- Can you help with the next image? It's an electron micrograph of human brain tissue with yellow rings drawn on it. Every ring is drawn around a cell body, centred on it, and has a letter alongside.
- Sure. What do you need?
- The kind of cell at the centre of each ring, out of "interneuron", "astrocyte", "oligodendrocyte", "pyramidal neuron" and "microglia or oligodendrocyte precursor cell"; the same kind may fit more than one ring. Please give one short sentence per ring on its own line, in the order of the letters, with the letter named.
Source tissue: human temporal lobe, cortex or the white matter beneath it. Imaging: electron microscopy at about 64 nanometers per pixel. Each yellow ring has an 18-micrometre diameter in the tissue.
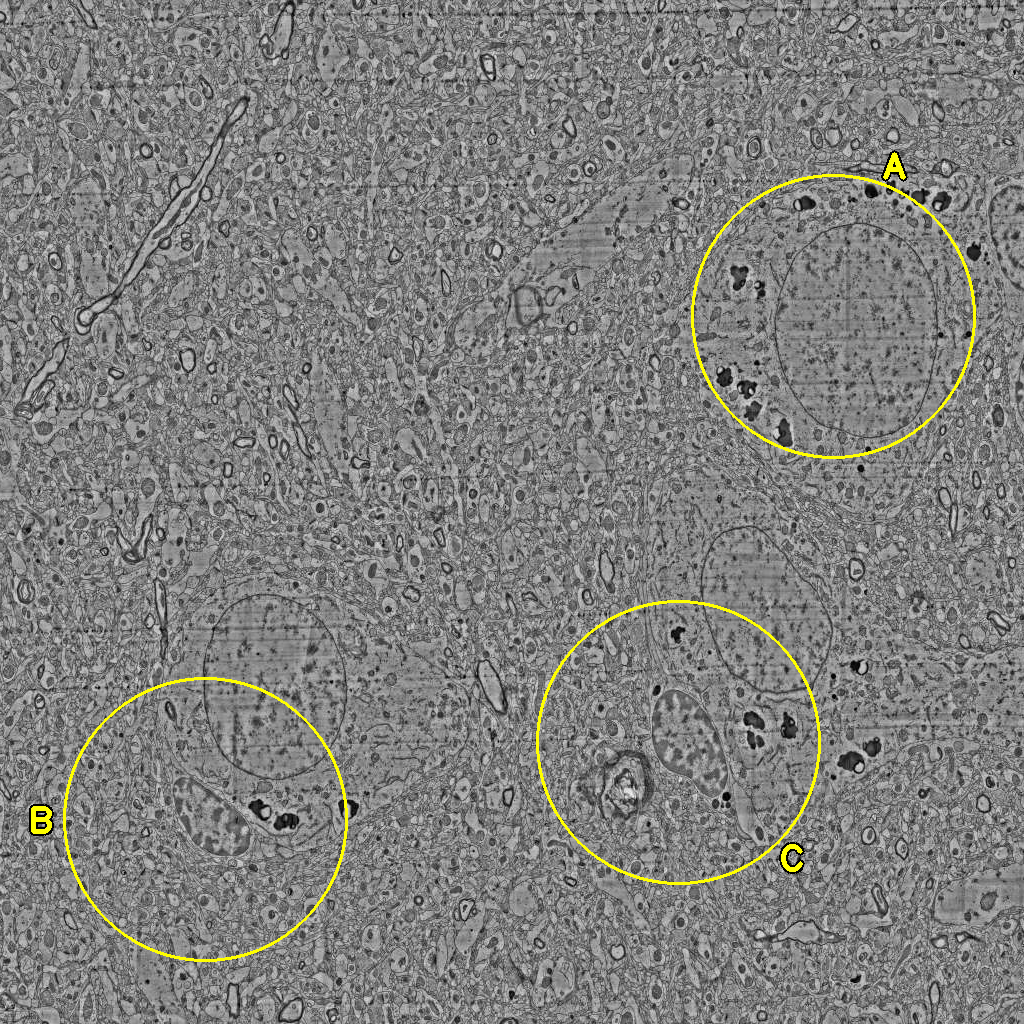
Ring A picks out a pyramidal neuron.
Ring B picks out a microglial cell or oligodendrocyte precursor cell.
Ring C picks out a microglial cell or oligodendrocyte precursor cell.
